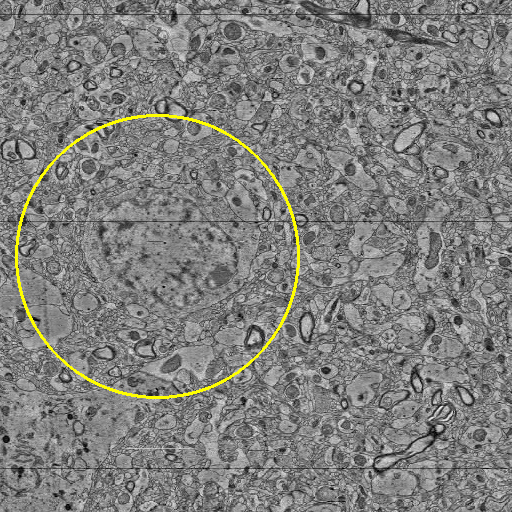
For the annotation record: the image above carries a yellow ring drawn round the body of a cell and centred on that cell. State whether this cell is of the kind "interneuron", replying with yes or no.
Yes, this cell is of that kind.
